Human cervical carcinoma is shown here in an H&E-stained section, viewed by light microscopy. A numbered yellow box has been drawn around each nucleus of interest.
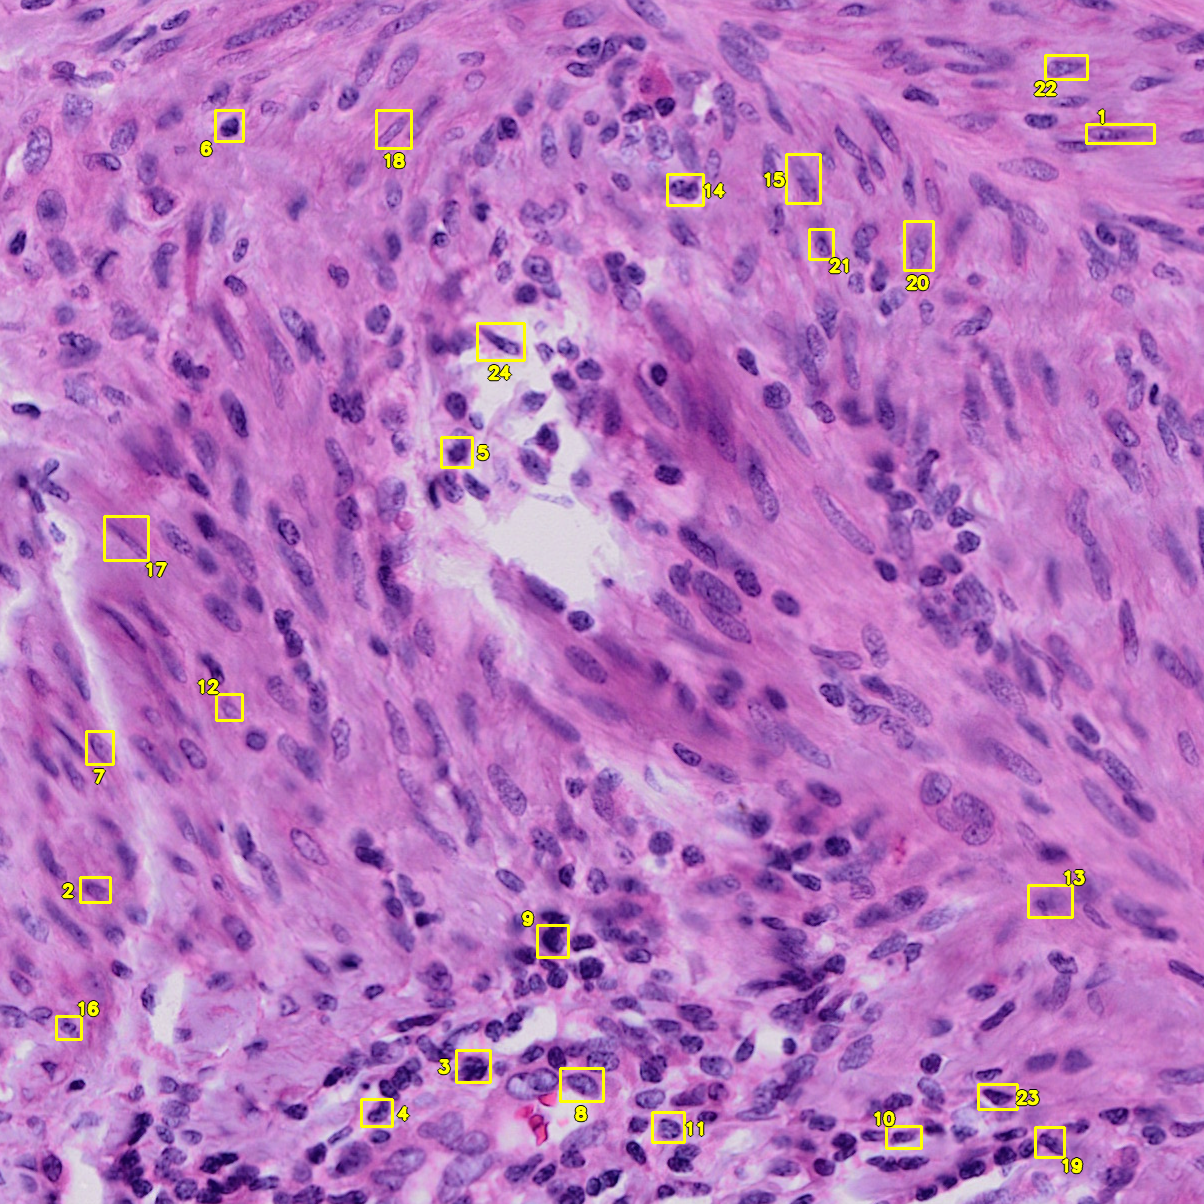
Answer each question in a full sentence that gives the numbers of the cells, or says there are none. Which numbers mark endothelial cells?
The nucleus numbered 8 is the only one that belongs to an endothelial cell.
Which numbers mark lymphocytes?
Cells numbered 3, 4, 5, 6, 9, 10, 11, 14, 19, 23 and 24 belong to the group of lymphocytes.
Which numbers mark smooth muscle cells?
Within this tissue, the cells numbered 1, 2, 7, 12, 15, 16, 17, 18, 20, 21 and 22 are smooth muscle cells.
